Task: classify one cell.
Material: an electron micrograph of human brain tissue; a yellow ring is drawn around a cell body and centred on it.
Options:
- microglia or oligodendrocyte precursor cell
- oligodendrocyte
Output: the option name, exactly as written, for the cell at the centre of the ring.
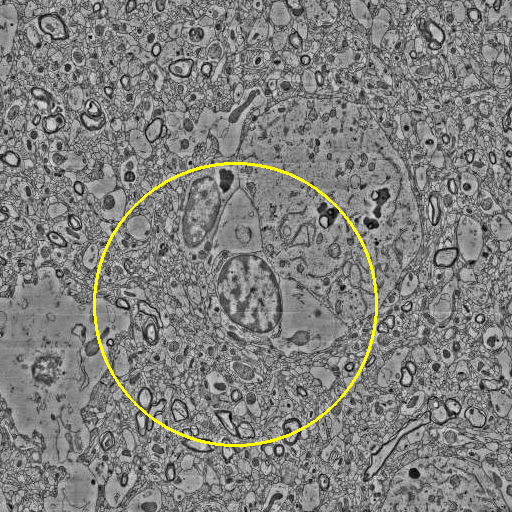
microglia or oligodendrocyte precursor cell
